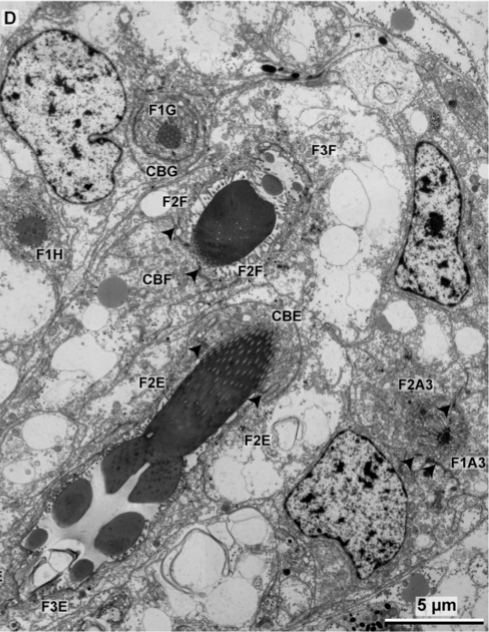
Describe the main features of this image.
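This low-power electron micrograph shows a formative site where chaetoblasts produce electron-dense rods, surrounded by follicle cells with large irregular nuclei with clumped dark chromatin. A long, dark, elongated rod runs diagonally through the lower centre, with a finely dotted end, and an oval dark rod lies higher up within a ring of cytoplasm with small profiles. The cytoplasm around them is pale and contains many clear vacuoles of varied size. Small arrowheads mark dense contact points between cells around the forming rods. A small round dense profile wrapped in concentric layers lies near the top.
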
